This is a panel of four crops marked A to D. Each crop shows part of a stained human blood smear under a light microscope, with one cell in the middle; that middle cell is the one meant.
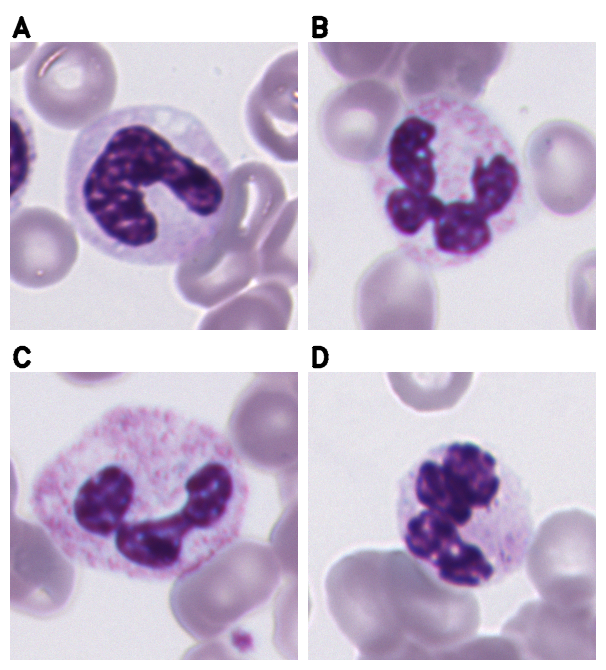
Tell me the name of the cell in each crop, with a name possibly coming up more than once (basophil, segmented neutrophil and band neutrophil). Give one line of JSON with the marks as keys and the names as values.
{"A": "band neutrophil", "B": "segmented neutrophil", "C": "segmented neutrophil", "D": "segmented neutrophil"}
